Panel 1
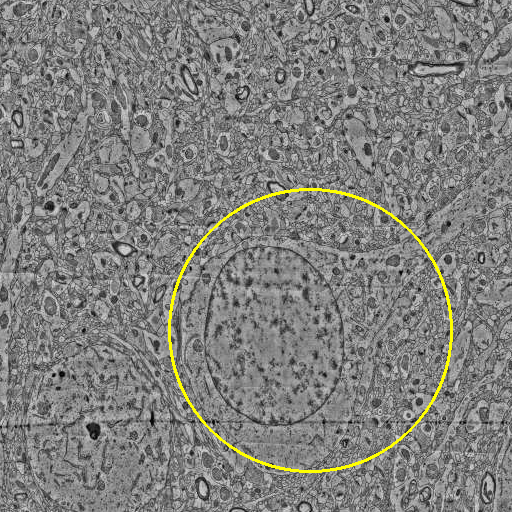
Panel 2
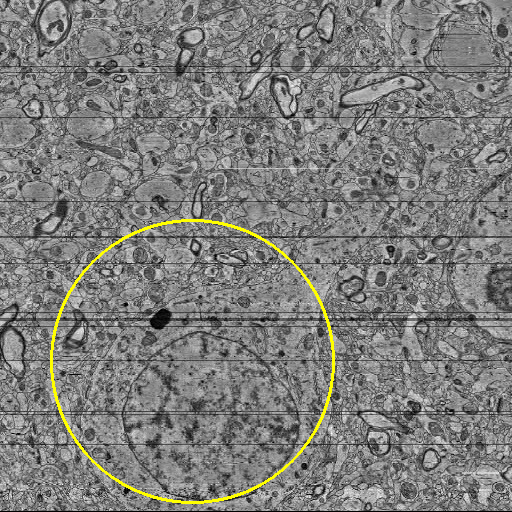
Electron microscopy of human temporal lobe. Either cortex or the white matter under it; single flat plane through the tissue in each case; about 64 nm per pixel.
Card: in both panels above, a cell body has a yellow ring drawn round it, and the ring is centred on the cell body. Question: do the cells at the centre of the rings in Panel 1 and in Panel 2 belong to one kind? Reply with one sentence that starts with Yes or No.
Yes, the cells centred in the rings of Panel 1 and Panel 2 are one kind of cell.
